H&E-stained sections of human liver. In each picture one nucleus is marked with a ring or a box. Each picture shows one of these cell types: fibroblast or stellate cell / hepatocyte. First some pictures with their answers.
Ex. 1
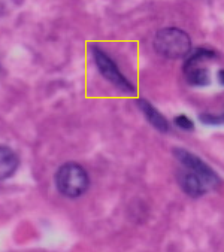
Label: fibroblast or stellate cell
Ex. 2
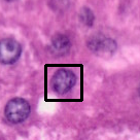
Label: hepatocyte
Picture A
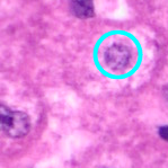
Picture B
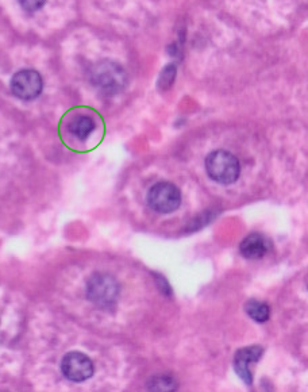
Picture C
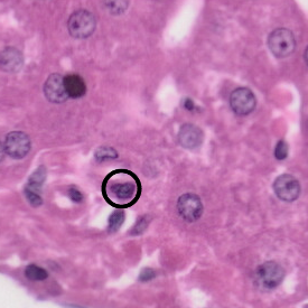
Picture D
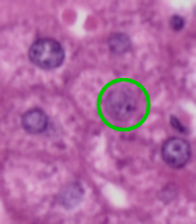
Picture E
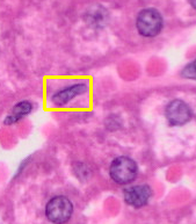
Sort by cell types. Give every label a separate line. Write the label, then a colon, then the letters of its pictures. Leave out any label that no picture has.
fibroblast or stellate cell: B, C, E
hepatocyte: A, D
